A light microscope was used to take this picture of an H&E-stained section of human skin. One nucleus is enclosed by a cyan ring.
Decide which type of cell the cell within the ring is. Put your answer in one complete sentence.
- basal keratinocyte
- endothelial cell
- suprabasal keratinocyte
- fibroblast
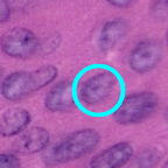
The cell meant here is a suprabasal keratinocyte.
